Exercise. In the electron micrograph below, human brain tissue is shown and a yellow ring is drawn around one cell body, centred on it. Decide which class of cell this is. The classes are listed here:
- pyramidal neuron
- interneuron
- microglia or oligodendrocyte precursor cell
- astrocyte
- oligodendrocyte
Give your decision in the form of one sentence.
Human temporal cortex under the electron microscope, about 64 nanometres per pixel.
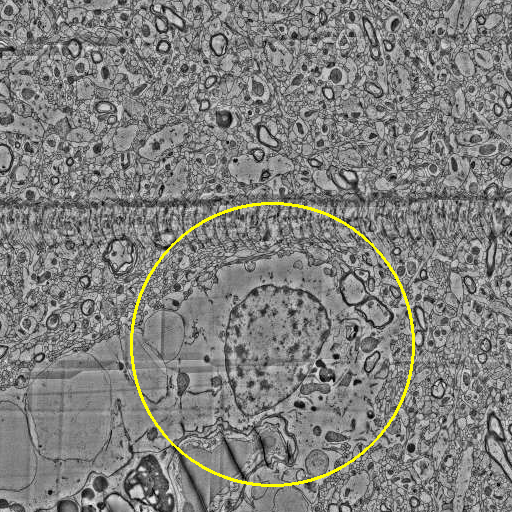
The cell body marked by the ring belongs to an astrocyte.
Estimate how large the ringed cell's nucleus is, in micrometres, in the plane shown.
The nucleus measures about 9 by 7 micrometres in this plane.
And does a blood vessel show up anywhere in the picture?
Yes, the image shows a blood vessel.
